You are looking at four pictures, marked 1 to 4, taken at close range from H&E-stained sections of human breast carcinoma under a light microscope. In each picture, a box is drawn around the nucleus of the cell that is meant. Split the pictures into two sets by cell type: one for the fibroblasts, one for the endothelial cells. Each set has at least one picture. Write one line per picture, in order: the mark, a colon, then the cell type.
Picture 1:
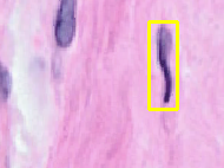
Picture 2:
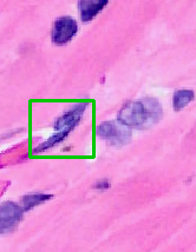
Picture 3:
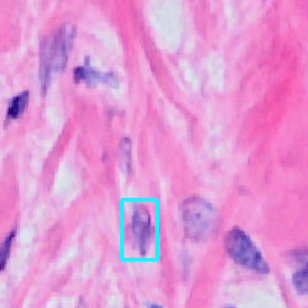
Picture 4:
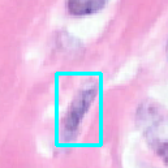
1: fibroblast
2: endothelial cell
3: fibroblast
4: fibroblast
